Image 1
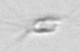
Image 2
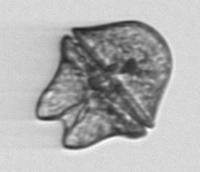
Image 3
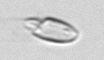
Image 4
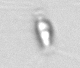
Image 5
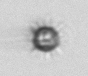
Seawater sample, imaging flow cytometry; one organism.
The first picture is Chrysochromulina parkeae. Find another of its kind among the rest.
Picture 4.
